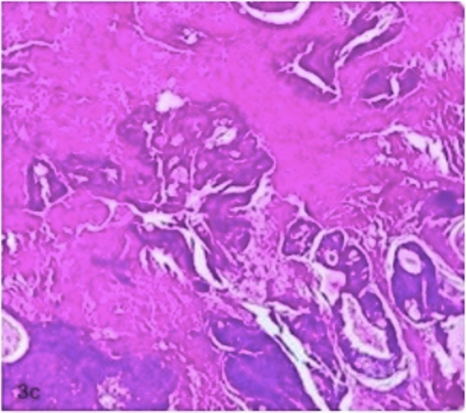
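The tumour forms irregular glandular and cystic spaces lined by epithelial cells, alongside more solid nests of cells with crowded dark purple nuclei. The nests and glands vary in size and shape and lie haphazardly within the stroma.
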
